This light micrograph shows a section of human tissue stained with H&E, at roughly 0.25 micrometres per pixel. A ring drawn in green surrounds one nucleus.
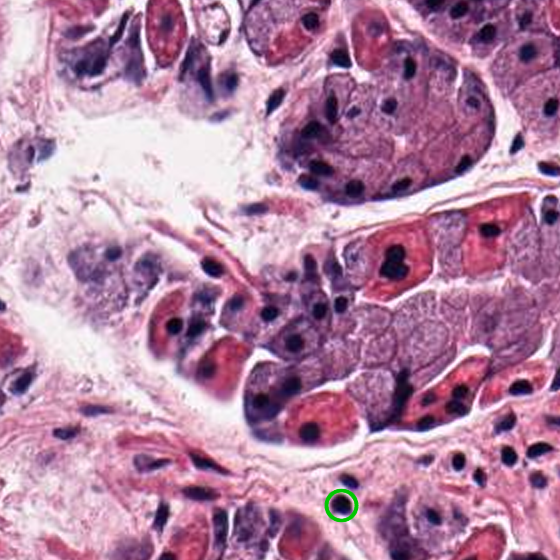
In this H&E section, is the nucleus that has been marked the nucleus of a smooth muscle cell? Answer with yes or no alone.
no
